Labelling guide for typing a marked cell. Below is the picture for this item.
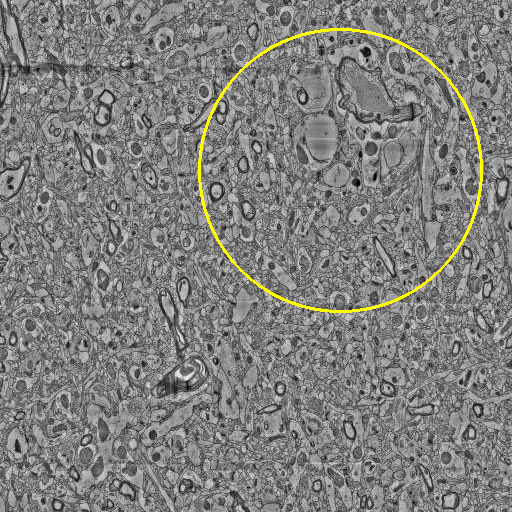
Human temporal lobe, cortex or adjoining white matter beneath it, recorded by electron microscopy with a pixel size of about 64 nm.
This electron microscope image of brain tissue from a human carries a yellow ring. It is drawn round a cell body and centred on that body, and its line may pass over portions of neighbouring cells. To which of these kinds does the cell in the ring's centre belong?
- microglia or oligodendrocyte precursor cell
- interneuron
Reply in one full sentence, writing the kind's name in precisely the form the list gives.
Here we have a microglial cell or oligodendrocyte precursor cell at the centre of the yellow ring in the picture.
